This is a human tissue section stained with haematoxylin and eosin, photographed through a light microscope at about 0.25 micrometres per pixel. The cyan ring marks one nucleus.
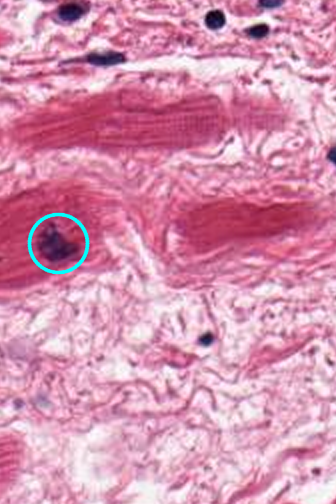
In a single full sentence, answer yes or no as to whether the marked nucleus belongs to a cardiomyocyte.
Yes, the nucleus marked in the image belongs to a cardiomyocyte.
